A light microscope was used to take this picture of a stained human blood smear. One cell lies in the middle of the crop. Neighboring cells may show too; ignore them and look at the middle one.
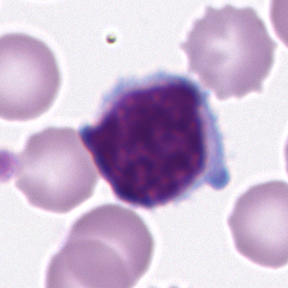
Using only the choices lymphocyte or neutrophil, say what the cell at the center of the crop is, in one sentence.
The cell in the middle of the field of view is a lymphocyte.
